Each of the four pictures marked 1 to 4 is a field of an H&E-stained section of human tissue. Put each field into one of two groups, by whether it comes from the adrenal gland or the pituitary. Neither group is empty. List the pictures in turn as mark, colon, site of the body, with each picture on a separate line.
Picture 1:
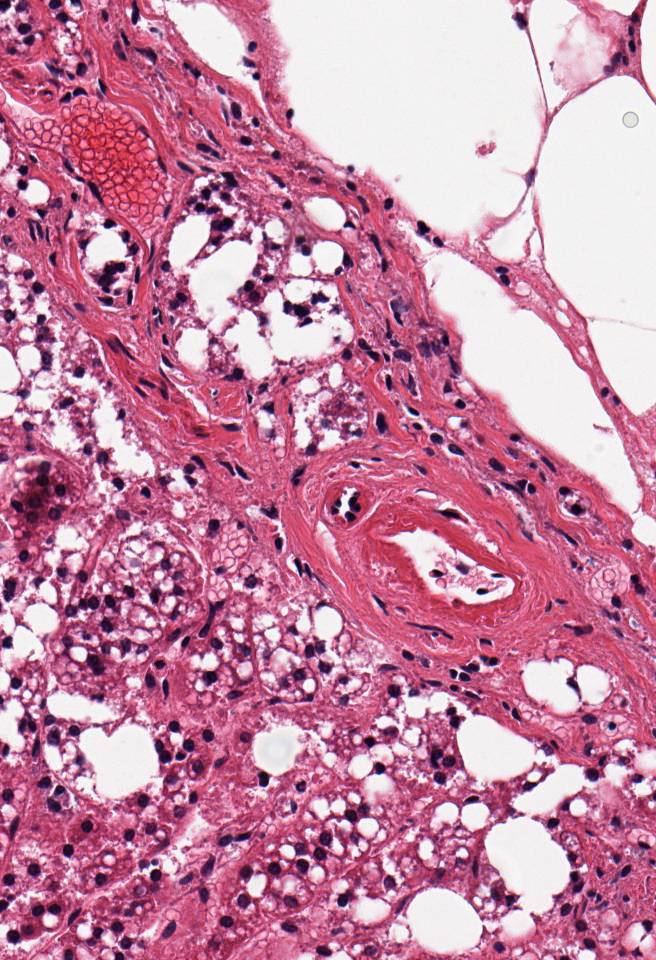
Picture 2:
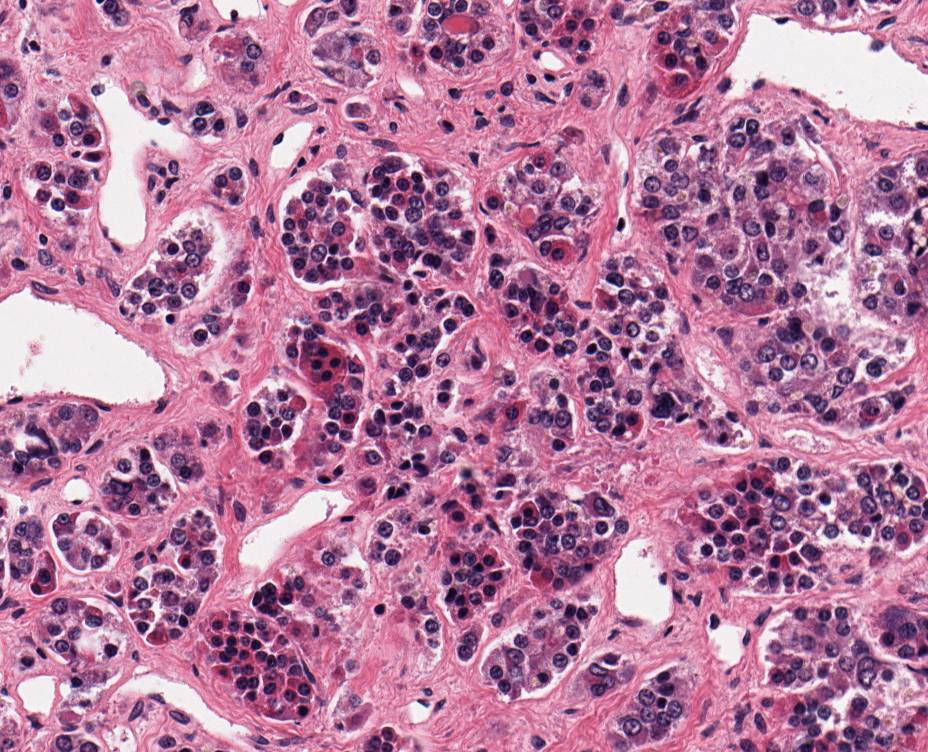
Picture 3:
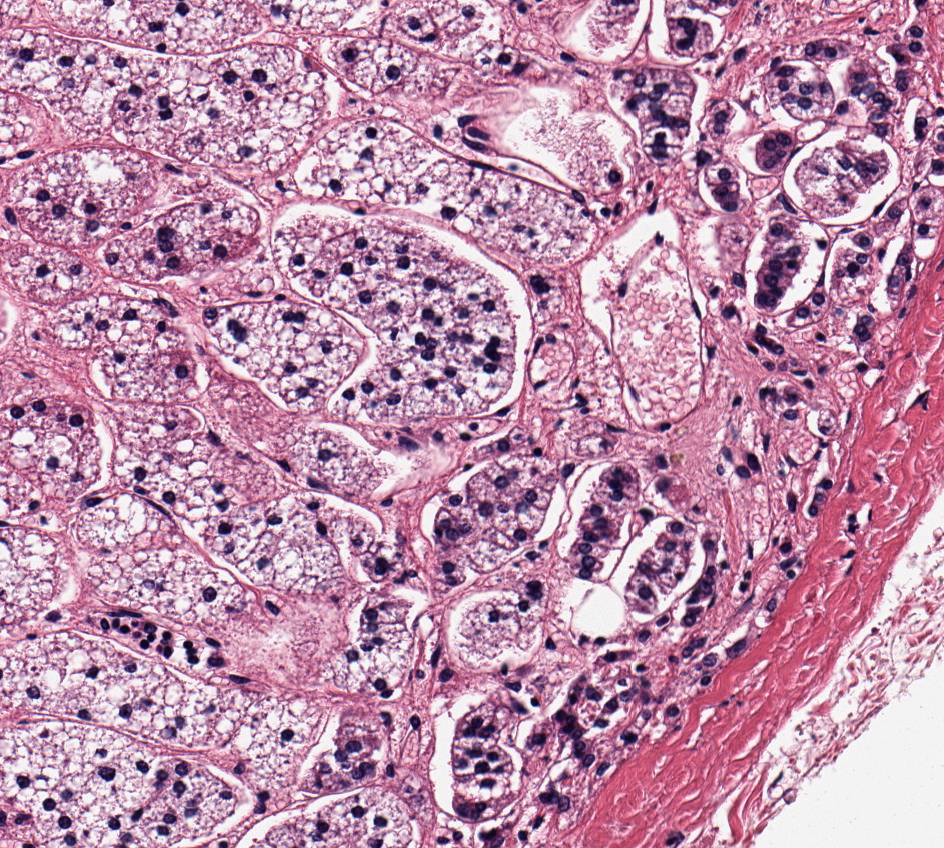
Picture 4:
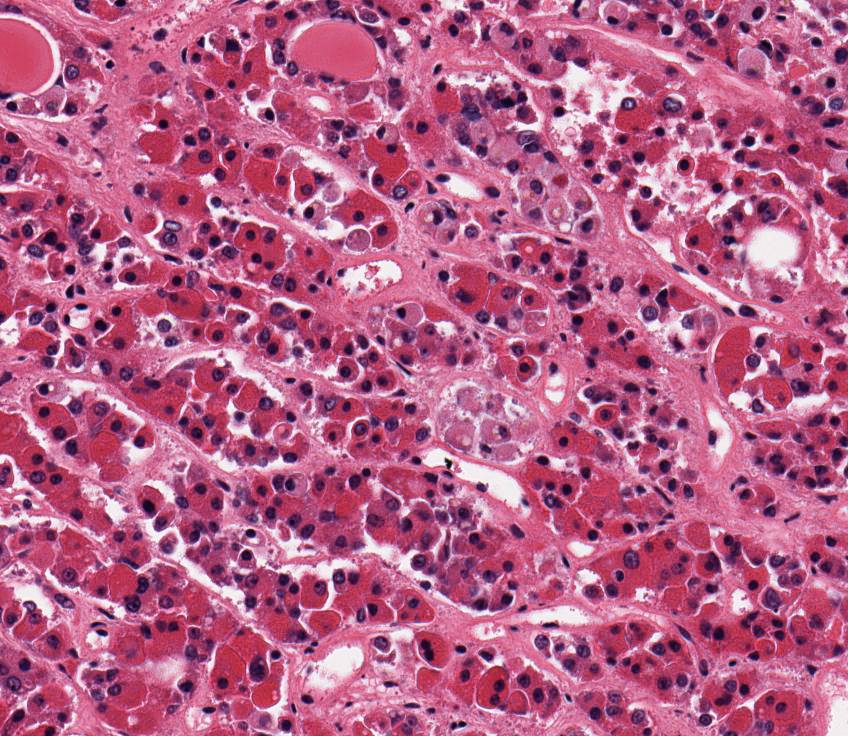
1: adrenal gland
2: pituitary
3: adrenal gland
4: pituitary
